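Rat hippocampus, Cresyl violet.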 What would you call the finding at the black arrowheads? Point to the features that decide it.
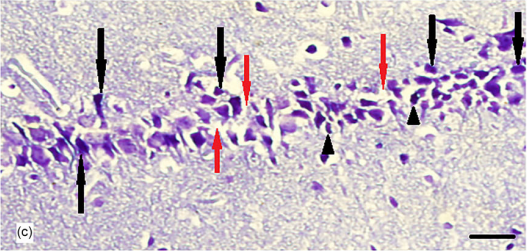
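The marked cells are small, dense and uniformly dark. No nucleolus or chromatin detail can be made out in them. So: pyknotic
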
